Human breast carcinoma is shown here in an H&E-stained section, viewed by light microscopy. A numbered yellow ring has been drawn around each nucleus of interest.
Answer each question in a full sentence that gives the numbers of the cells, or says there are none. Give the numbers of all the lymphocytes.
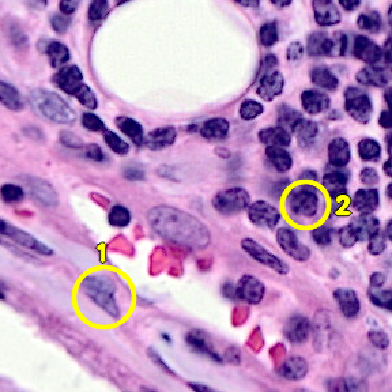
Only the cell numbered 2 qualifies as a lymphocyte among the marked cells.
